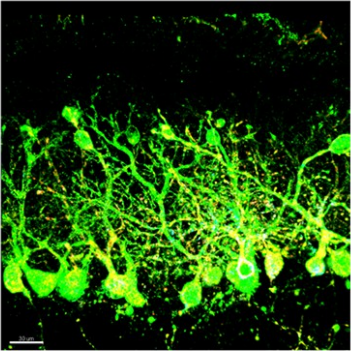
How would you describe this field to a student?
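This cerebellar slice shows a row of Purkinje cells with large rounded cell bodies aligned along the lower part of the field. Thick dendrites emerge from the top of the cell bodies and branch upward, forming a less densely filled arbor than a fully elaborated dendritic tree. Small red and yellow puncta are scattered within the cell bodies and along the dendrites.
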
